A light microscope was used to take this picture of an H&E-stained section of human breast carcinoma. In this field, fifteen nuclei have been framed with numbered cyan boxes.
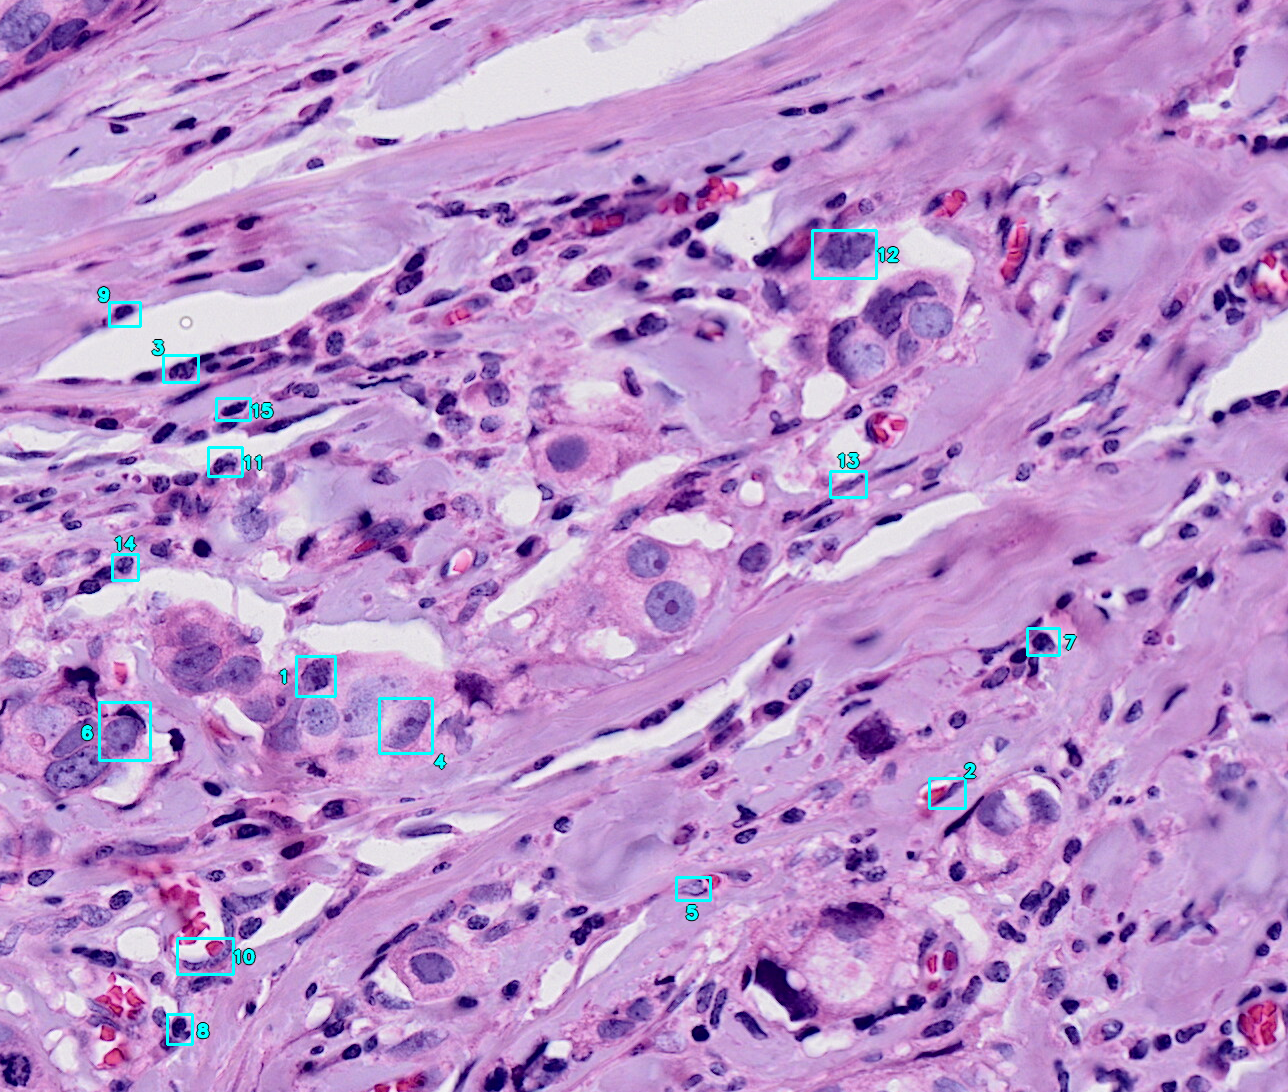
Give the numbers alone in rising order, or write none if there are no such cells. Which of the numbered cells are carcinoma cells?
1, 4, 6, 12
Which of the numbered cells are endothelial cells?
2, 5, 10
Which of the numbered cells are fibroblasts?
13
